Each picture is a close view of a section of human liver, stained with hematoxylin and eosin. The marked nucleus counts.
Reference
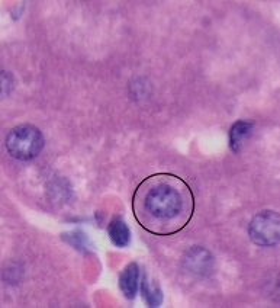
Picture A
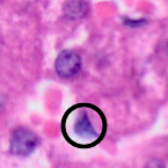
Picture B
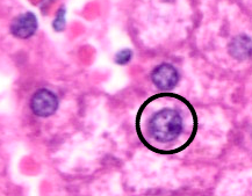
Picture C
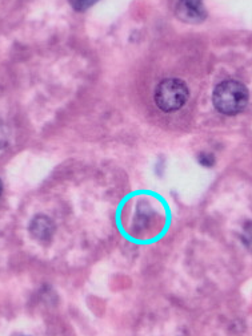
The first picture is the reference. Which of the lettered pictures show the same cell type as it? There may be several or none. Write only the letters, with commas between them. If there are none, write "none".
B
